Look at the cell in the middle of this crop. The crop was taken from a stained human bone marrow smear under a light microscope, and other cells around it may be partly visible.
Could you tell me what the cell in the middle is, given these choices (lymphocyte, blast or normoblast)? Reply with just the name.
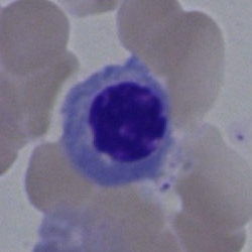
normoblast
